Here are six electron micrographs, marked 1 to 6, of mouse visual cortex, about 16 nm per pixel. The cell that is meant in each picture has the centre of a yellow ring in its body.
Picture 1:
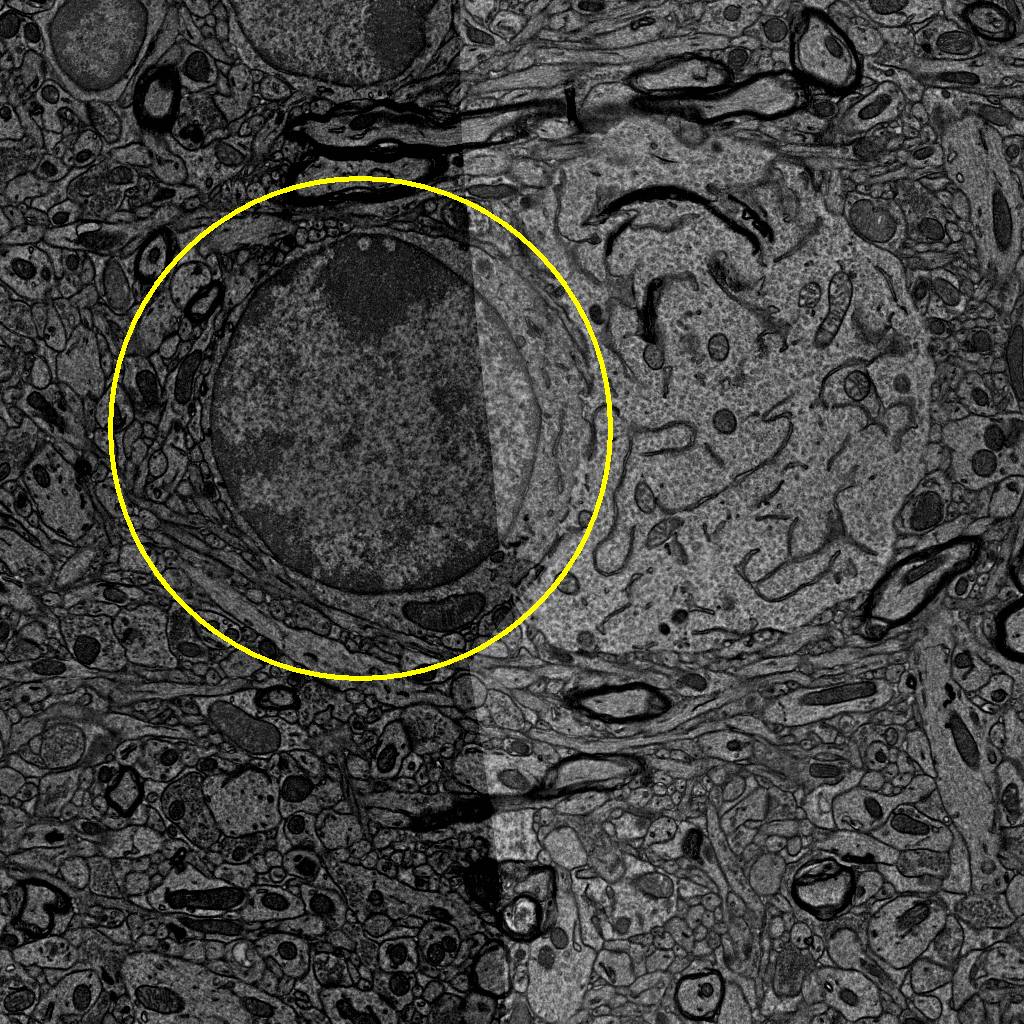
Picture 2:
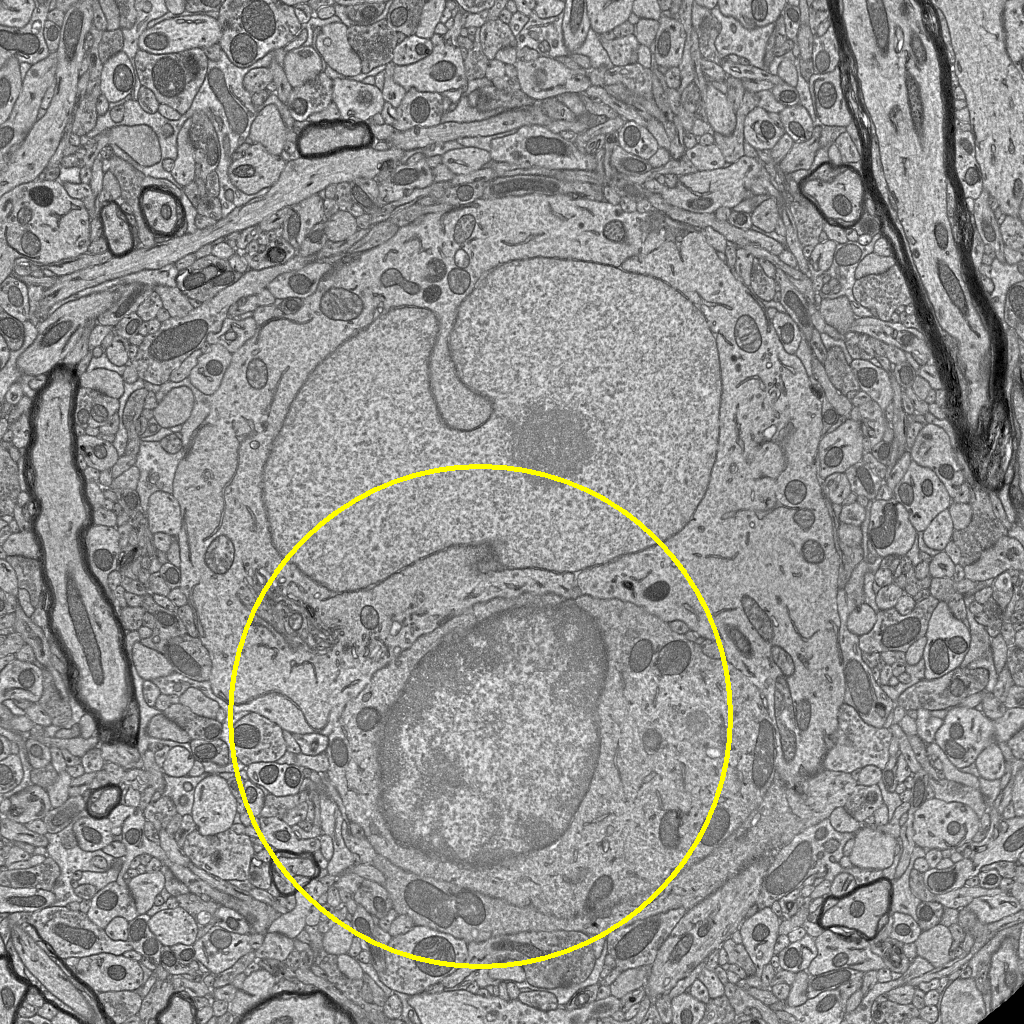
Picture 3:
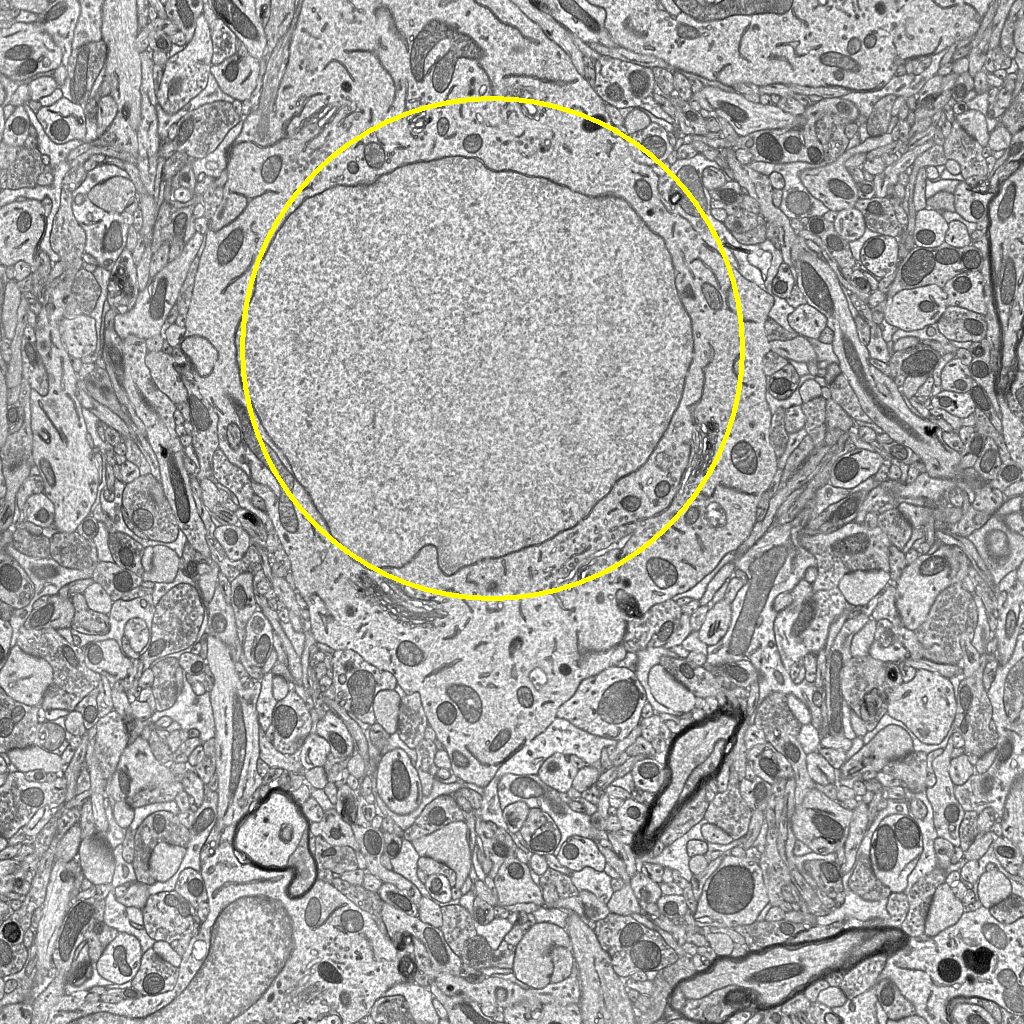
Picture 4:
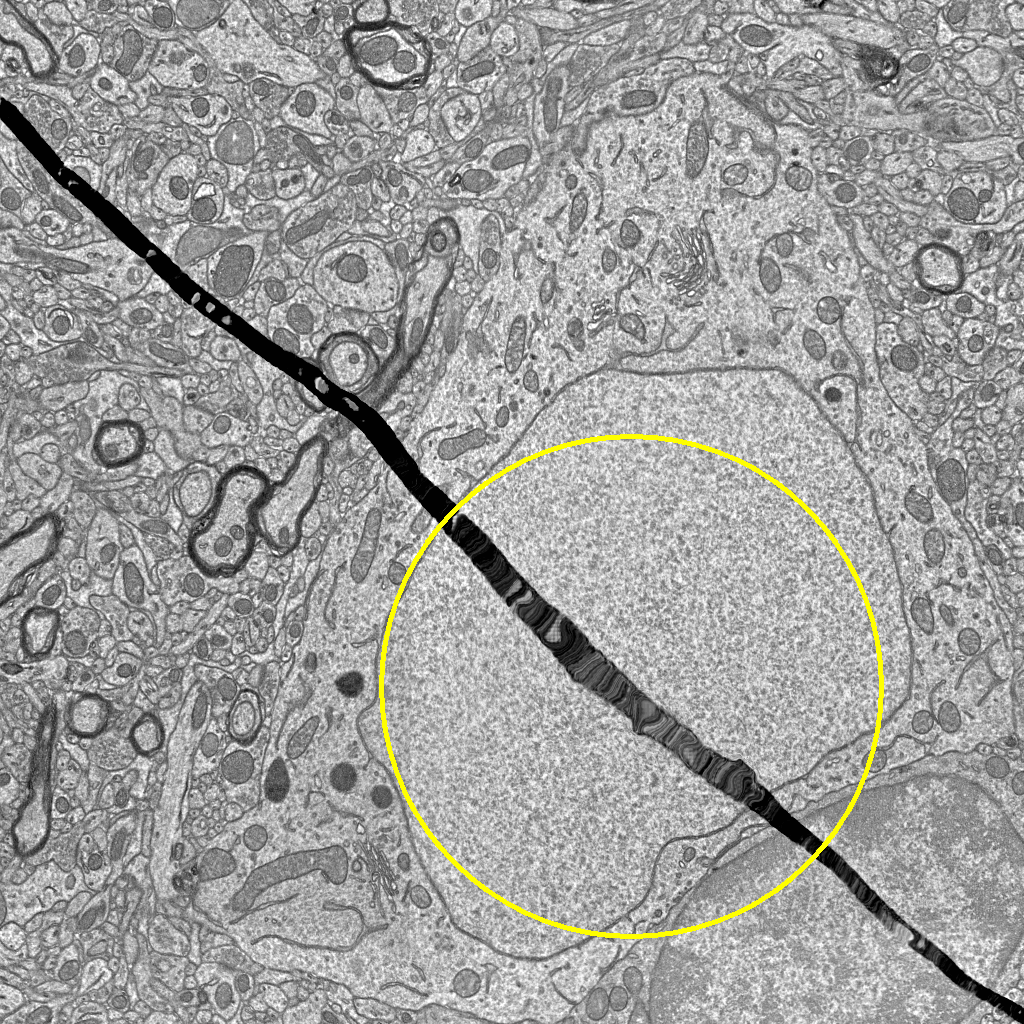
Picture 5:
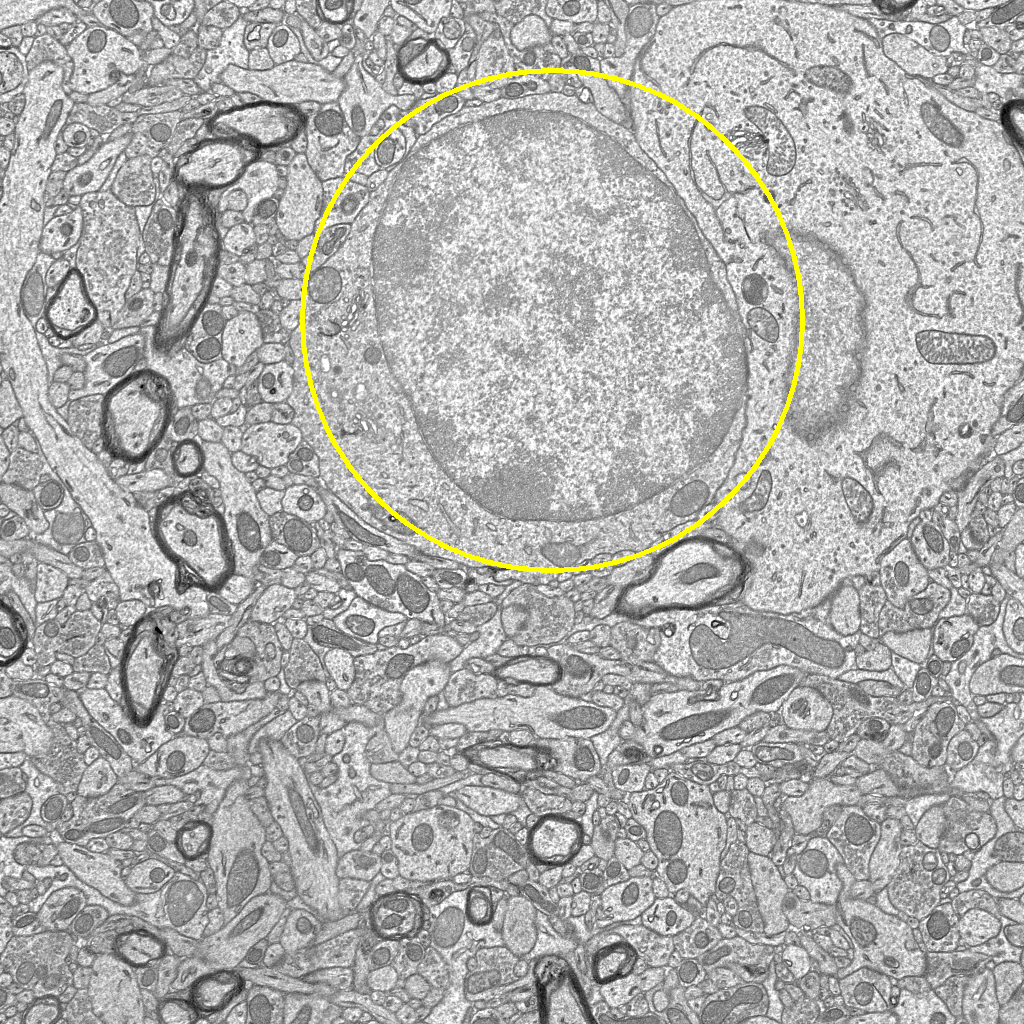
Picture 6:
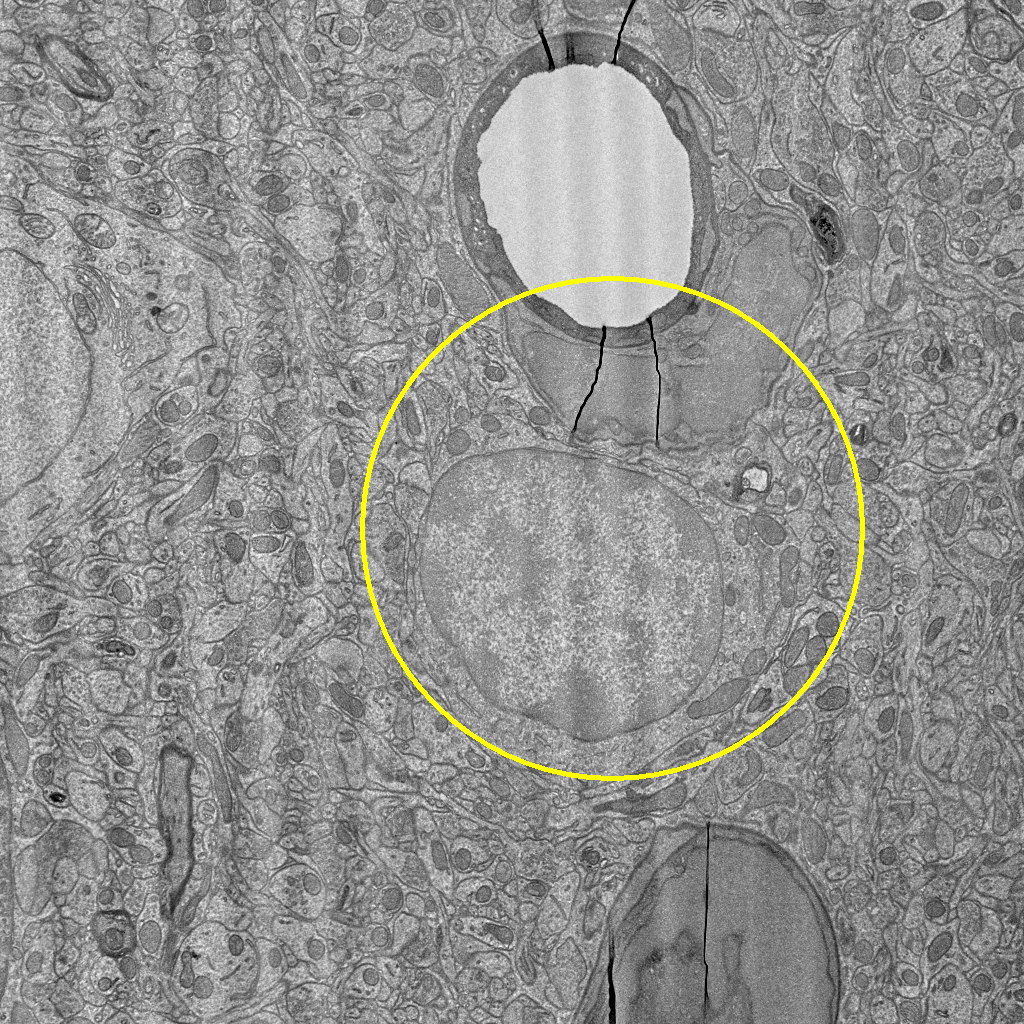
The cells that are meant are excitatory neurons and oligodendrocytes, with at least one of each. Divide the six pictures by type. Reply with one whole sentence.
Pictures 3 and 4 show excitatory neurons, while pictures 1, 2, 5 and 6 show oligodendrocytes.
